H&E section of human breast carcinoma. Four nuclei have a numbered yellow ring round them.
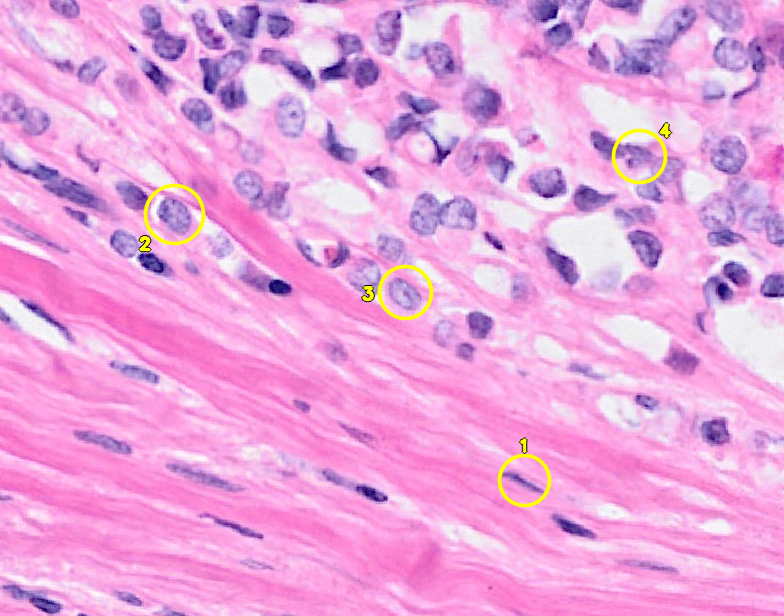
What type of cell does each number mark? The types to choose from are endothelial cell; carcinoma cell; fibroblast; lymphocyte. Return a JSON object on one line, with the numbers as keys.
{"1": "fibroblast", "2": "carcinoma cell", "3": "carcinoma cell", "4": "carcinoma cell"}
